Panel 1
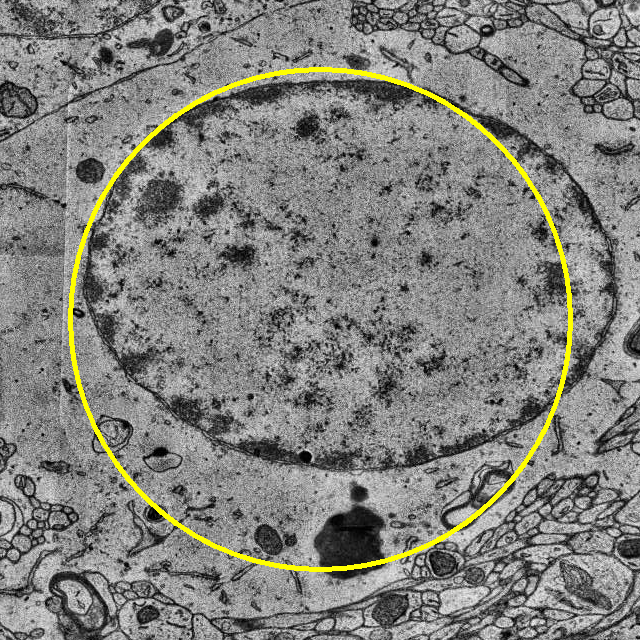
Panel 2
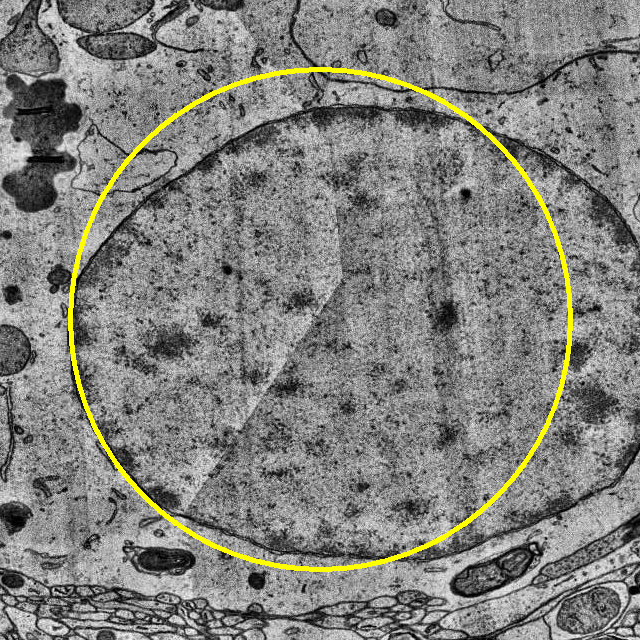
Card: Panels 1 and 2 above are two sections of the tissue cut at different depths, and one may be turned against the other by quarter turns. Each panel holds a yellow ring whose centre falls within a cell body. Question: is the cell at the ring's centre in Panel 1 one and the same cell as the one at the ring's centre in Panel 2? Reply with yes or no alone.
no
